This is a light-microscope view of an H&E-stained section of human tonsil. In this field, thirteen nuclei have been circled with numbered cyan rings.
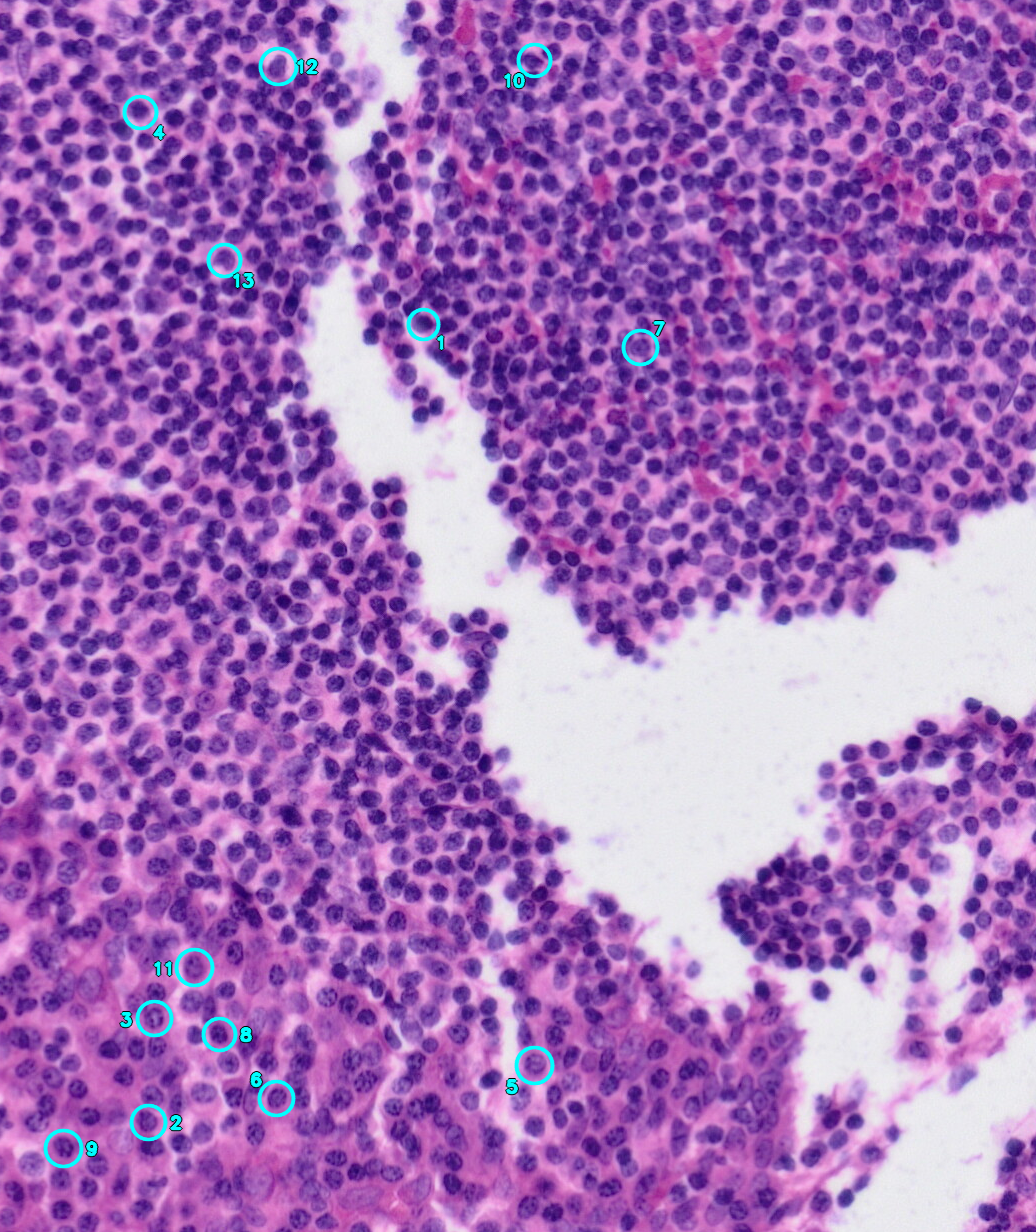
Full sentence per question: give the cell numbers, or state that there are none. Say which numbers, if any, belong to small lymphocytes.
Each of the cells numbered 1, 4, 7, 10, 12 and 13 is among the small lymphocytes.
